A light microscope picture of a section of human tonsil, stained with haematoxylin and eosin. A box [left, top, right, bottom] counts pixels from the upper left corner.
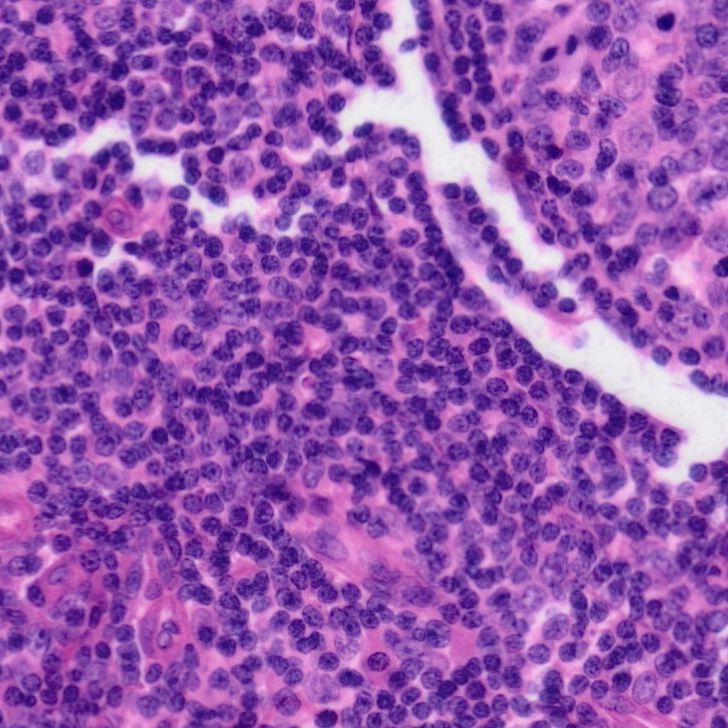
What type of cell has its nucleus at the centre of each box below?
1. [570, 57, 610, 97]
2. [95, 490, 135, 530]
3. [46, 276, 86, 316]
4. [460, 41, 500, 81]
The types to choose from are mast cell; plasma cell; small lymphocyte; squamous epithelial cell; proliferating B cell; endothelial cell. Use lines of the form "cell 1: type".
cell 1: proliferating B cell
cell 2: small lymphocyte
cell 3: small lymphocyte
cell 4: small lymphocyte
